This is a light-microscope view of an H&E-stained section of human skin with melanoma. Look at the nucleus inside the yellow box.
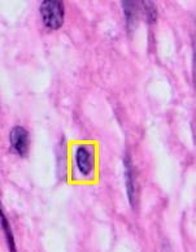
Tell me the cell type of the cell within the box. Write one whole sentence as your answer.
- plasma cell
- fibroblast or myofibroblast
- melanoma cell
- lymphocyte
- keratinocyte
For the purposes of cell typing, the cell within the box is categorized as a lymphocyte.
